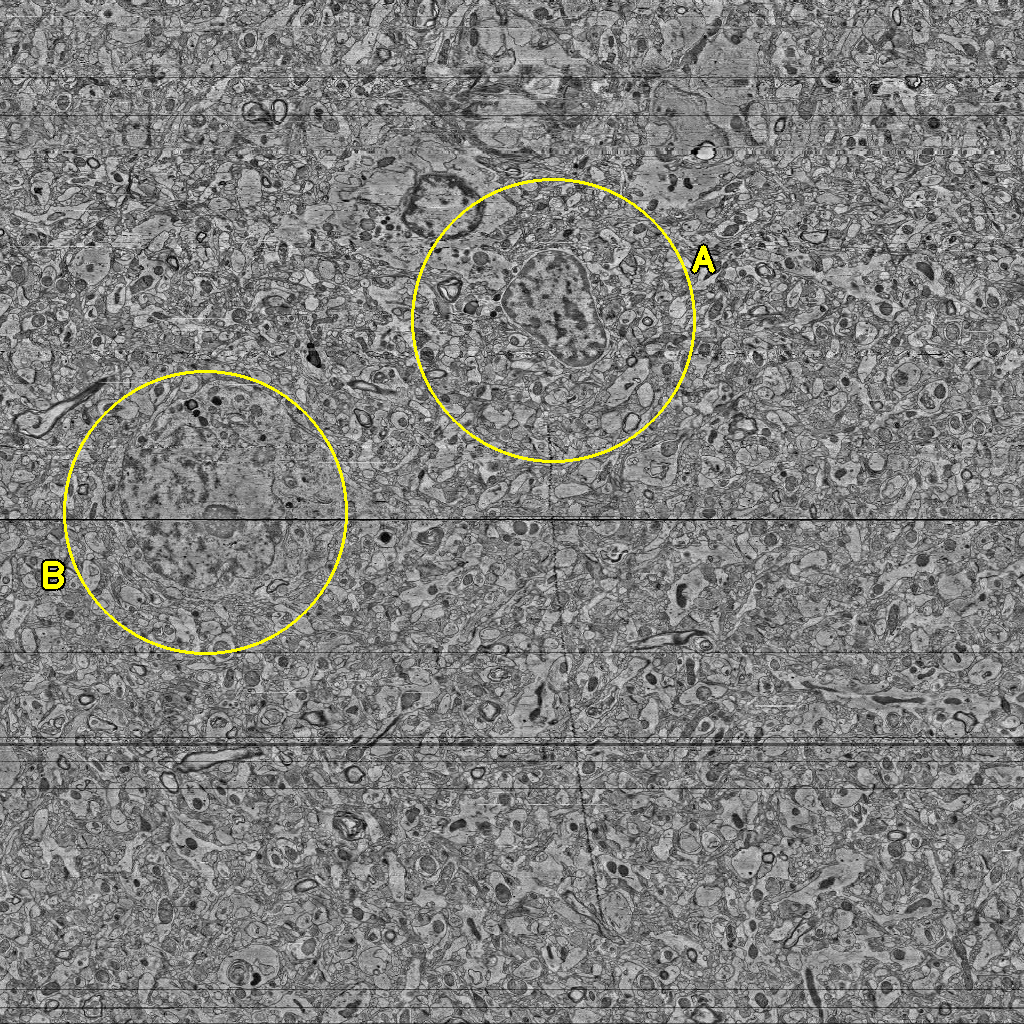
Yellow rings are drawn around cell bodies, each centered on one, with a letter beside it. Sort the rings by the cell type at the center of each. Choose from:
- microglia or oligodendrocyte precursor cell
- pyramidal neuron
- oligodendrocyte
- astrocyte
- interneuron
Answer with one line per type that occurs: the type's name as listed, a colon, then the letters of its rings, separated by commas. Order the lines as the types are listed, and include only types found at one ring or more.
microglia or oligodendrocyte precursor cell: A
interneuron: B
